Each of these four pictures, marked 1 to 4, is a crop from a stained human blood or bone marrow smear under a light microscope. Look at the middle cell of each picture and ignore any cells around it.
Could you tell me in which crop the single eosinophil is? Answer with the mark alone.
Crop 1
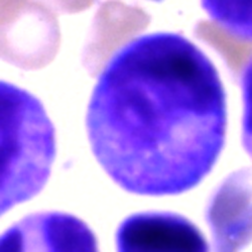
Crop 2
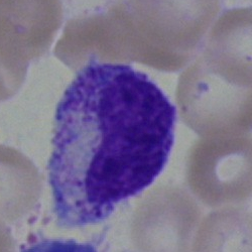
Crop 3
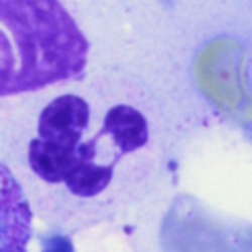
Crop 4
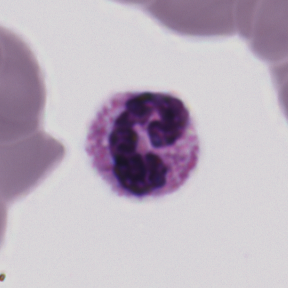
4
